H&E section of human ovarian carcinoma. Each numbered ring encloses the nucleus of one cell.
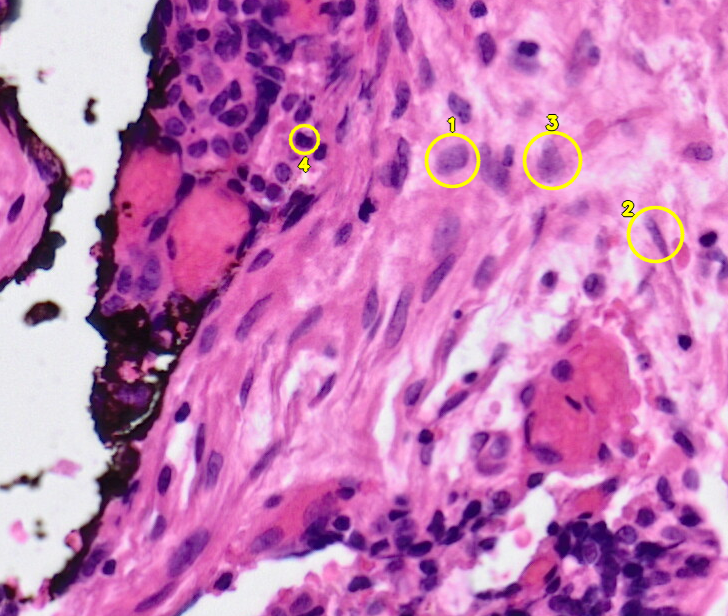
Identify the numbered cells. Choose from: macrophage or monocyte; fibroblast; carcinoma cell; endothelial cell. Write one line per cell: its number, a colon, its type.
1: fibroblast
2: fibroblast
3: fibroblast
4: macrophage or monocyte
